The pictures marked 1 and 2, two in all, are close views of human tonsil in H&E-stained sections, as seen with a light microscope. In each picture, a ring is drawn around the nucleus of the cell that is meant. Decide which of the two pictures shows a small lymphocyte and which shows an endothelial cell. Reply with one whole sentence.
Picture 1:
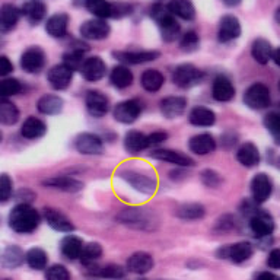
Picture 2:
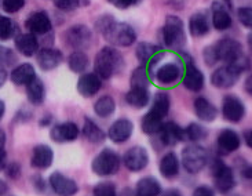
The cell in picture 1 is an endothelial cell, and the one in picture 2 is a small lymphocyte.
